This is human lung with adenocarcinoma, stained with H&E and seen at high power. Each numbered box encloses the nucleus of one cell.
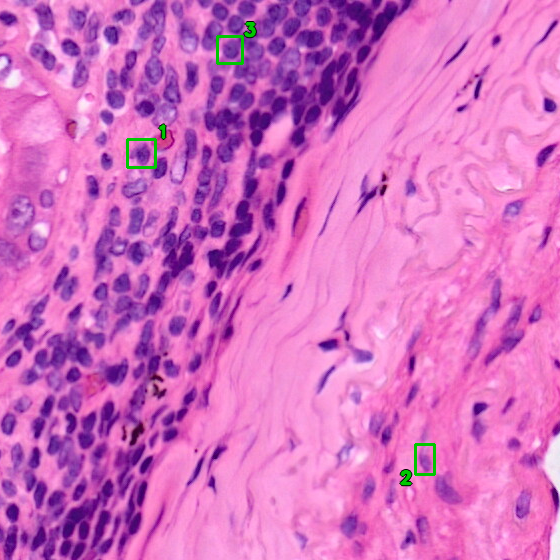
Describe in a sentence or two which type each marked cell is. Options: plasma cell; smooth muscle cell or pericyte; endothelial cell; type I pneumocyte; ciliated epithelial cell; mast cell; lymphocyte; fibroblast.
Cells 1 and 3 are lymphocytes. Cell 2 is a smooth muscle cell or pericyte.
